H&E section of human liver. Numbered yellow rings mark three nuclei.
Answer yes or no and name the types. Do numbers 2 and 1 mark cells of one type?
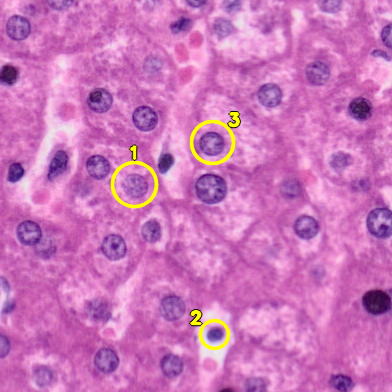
No, cell 2 is a lymphocyte and cell 1 is a hepatocyte.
